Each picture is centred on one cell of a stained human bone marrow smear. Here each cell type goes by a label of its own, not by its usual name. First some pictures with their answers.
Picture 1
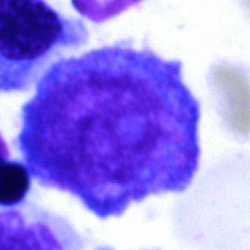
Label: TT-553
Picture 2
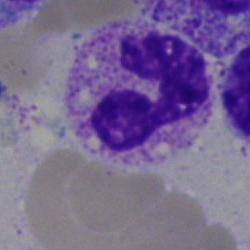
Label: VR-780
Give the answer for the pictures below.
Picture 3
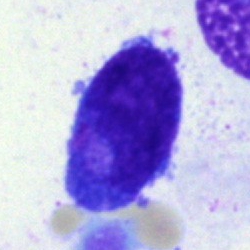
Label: TT-553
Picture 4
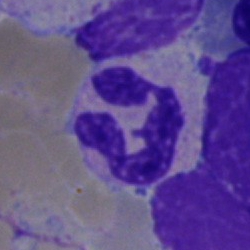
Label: VR-780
